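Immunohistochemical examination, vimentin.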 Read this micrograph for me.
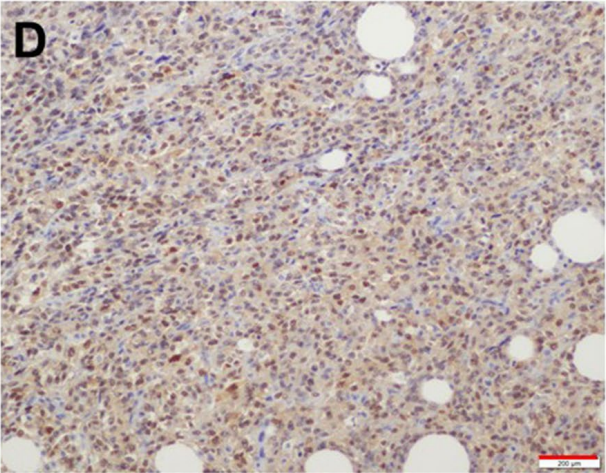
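Sheets of densely packed tumor cells with round to oval nuclei, most of which are stained brown in both nucleus and cytoplasm against a blue counterstain. Round empty fat vacuoles of various sizes are interspersed among the cells.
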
